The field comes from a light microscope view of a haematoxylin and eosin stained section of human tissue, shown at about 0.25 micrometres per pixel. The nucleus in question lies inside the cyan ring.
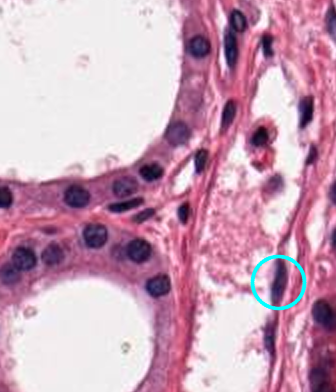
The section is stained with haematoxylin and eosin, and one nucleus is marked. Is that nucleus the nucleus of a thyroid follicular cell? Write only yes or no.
no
